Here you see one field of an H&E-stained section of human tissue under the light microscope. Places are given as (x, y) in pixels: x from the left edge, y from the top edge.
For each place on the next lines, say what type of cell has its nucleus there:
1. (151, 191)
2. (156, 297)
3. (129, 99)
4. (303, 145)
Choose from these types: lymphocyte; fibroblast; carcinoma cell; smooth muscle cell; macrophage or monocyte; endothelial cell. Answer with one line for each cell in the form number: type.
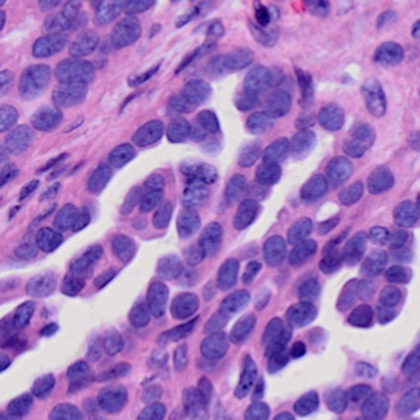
1: carcinoma cell
2: carcinoma cell
3: fibroblast
4: carcinoma cell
